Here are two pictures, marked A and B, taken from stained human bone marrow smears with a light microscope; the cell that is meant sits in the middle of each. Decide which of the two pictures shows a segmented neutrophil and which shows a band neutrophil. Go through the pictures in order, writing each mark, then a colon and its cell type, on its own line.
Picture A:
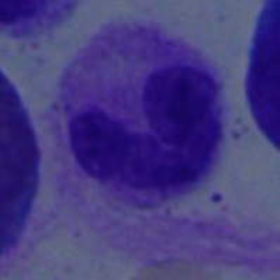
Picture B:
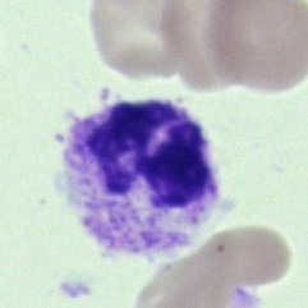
A: band neutrophil
B: segmented neutrophil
